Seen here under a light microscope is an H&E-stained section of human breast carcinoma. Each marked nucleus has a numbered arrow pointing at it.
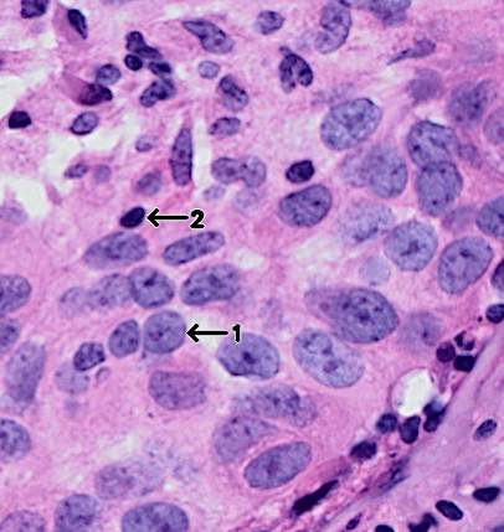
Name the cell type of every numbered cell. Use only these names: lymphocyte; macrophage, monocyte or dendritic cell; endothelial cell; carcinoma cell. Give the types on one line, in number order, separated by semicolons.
carcinoma cell; lymphocyte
